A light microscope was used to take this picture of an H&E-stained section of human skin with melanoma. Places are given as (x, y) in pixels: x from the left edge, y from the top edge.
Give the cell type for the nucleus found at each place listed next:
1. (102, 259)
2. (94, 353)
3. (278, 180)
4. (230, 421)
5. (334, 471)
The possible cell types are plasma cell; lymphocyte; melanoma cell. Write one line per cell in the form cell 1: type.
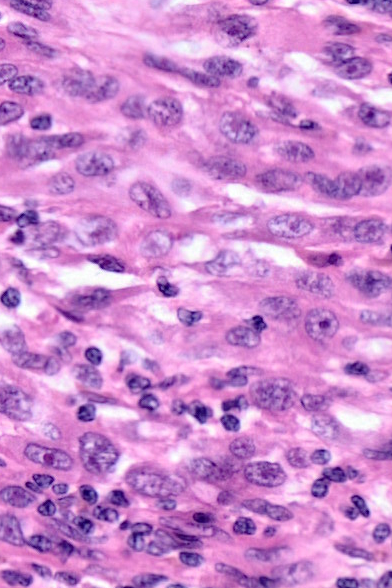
cell 1: melanoma cell
cell 2: lymphocyte
cell 3: melanoma cell
cell 4: lymphocyte
cell 5: lymphocyte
